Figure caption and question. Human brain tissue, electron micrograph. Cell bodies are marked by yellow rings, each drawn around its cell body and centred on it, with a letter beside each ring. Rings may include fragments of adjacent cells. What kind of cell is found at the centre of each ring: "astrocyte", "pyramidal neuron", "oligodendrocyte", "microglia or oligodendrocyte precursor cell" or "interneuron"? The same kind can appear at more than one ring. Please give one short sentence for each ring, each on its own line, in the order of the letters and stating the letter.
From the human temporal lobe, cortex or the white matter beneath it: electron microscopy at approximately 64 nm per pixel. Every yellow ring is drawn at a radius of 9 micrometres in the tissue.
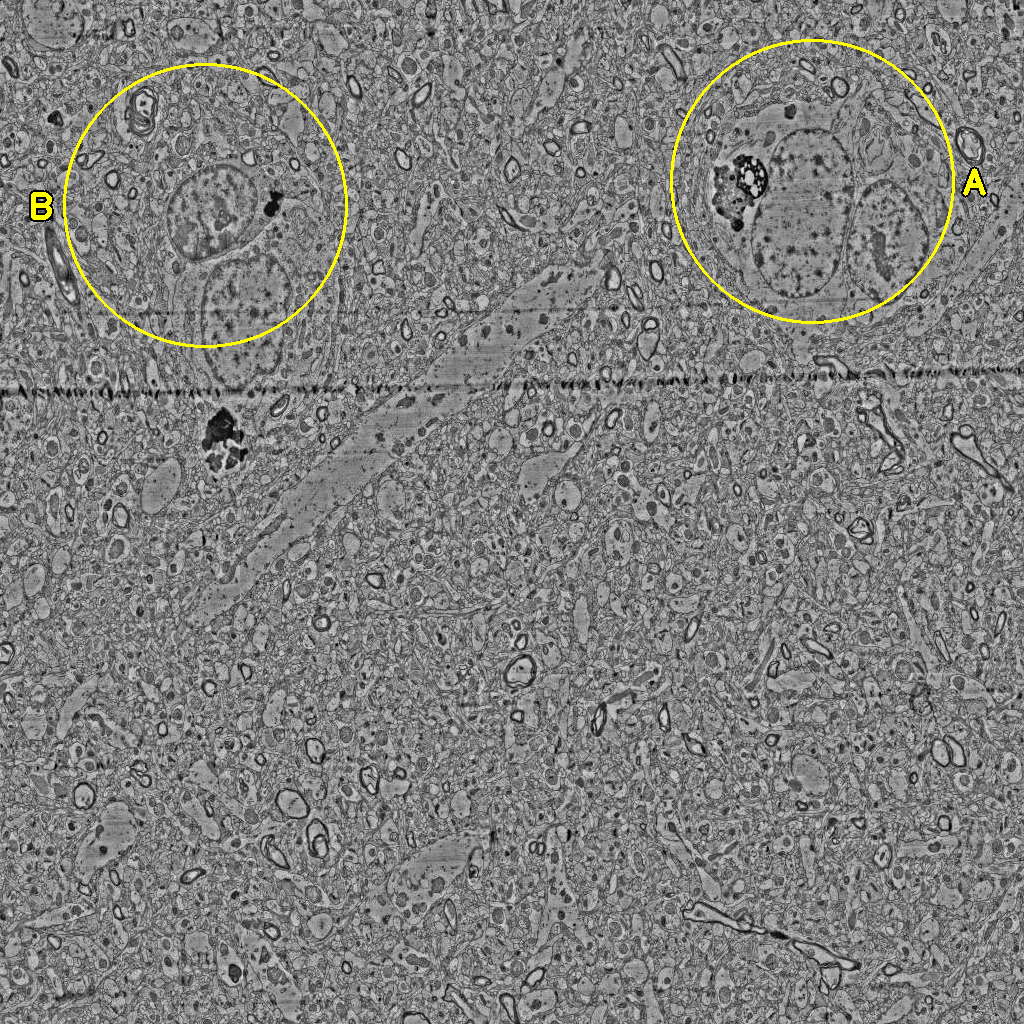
The centre of ring A falls on an astrocyte.
The centre of ring B falls on an oligodendrocyte.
